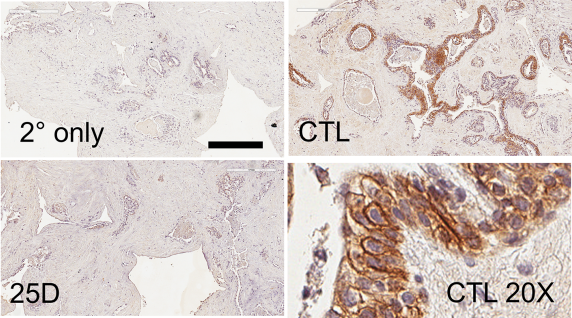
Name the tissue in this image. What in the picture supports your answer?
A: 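Many branching glands with folded epithelium lie in a stromal background. Gland lumens are open and irregular in outline. So: prostate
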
